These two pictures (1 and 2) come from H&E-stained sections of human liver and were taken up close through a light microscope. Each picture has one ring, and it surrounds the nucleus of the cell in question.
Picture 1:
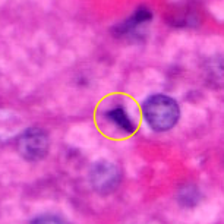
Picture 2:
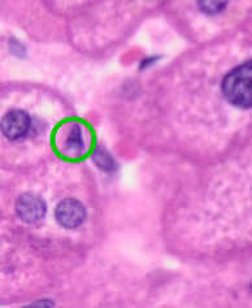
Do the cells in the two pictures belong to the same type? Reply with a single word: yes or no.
yes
